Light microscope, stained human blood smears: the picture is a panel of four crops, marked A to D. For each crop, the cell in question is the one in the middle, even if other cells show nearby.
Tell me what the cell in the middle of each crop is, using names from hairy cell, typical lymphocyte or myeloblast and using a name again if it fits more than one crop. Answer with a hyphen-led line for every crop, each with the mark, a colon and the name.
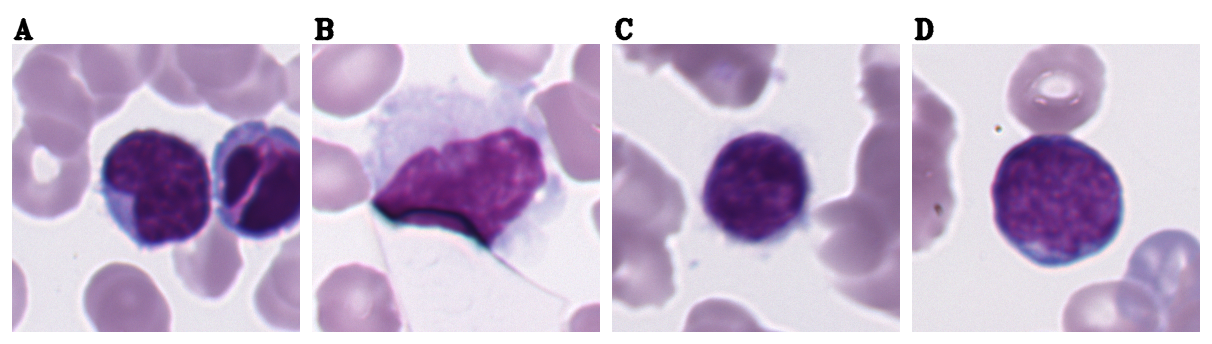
- A: typical lymphocyte
- B: hairy cell
- C: hairy cell
- D: myeloblast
